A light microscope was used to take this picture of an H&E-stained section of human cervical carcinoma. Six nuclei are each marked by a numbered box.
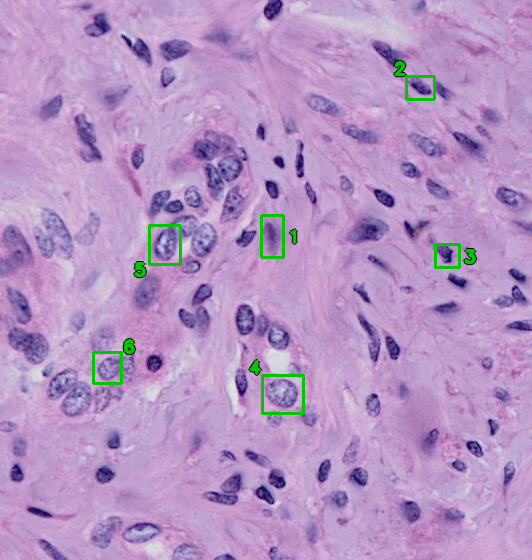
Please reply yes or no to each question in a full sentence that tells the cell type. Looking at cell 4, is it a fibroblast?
No, the marked cell 4 is not a fibroblast, being instead an endothelial cell.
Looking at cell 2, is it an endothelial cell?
No, it is a fibroblast, not an endothelial cell, at number 2.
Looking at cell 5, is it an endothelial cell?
Yes, the cell that number 5 points to is an endothelial cell.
